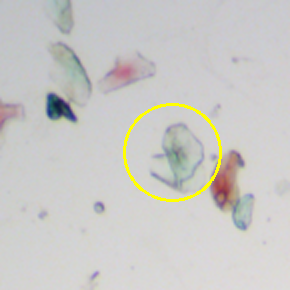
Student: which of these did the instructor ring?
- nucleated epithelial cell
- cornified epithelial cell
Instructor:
The cell I ringed is a cornified epithelial cell.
